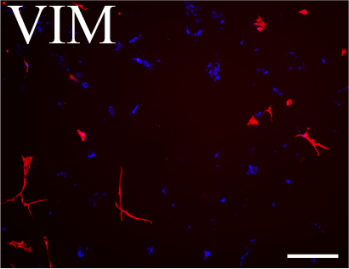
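The red cells are slender and spindle-shaped or stellate, with long thin branching processes that extend well beyond the cell body. Most of the nuclei lie in cells with no red staining at all.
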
